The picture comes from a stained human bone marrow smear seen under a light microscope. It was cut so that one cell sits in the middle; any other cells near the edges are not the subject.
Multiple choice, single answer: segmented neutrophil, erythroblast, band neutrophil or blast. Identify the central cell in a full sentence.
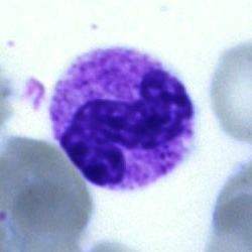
In the central position of this crop, the cell is a band neutrophil.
